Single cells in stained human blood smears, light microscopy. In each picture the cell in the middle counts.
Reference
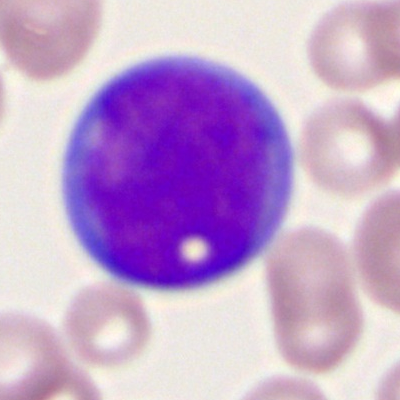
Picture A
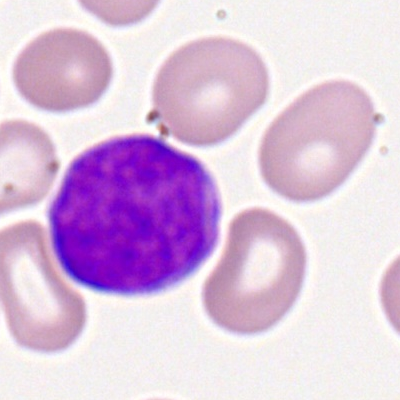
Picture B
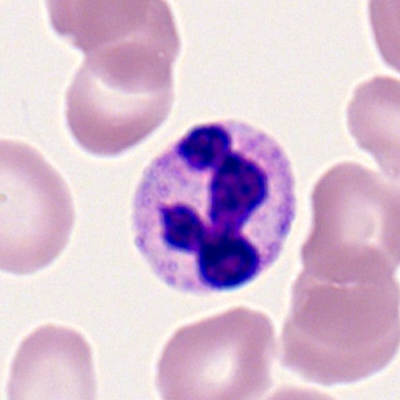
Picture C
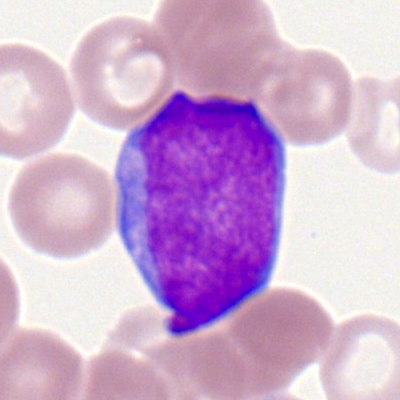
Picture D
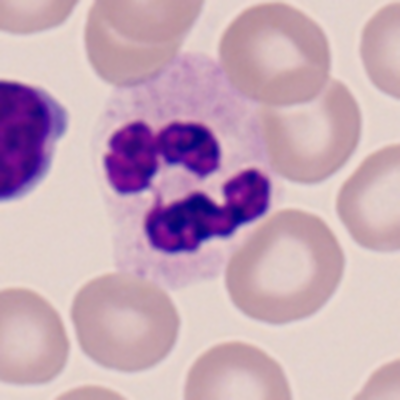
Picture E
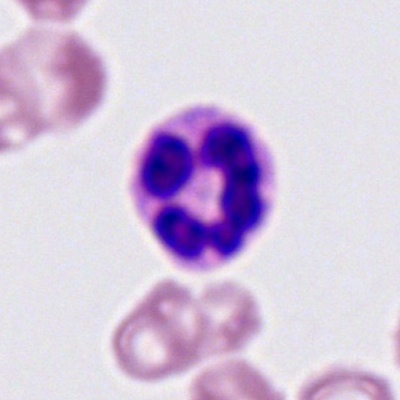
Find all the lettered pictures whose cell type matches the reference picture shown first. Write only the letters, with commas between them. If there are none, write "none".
A, C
